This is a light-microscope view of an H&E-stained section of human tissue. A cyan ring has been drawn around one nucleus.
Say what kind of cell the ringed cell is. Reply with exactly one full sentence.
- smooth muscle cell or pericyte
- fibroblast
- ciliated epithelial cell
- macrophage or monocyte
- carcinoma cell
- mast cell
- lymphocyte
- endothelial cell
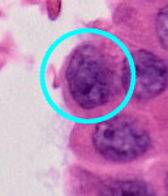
Speaking plainly, the ringed cell is nothing other than a carcinoma cell.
